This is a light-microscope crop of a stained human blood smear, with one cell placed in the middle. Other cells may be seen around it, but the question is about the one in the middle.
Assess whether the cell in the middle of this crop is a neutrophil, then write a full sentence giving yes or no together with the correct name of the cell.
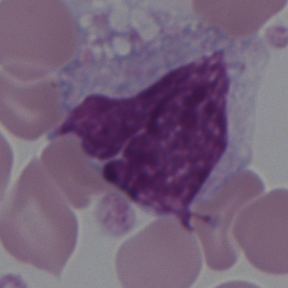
No, a monocyte, not a neutrophil, is what sits in the centre of the crop.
